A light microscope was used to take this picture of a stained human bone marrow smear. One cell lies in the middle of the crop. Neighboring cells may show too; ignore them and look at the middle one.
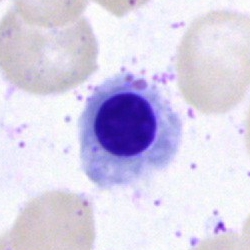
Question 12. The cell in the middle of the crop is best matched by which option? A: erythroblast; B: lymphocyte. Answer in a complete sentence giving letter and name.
In the middle of the crop is an erythroblast; option A is therefore correct.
